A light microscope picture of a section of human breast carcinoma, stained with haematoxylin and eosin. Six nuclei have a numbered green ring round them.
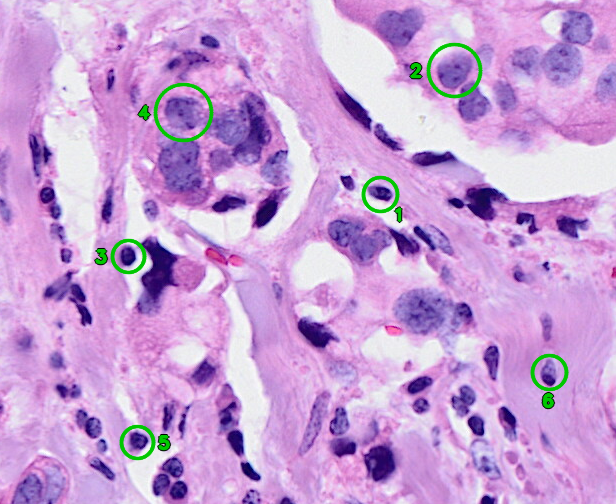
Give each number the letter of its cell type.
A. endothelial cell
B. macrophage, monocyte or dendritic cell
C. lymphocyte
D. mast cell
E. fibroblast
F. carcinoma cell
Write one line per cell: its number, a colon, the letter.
1: C
2: F
3: C
4: F
5: C
6: C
